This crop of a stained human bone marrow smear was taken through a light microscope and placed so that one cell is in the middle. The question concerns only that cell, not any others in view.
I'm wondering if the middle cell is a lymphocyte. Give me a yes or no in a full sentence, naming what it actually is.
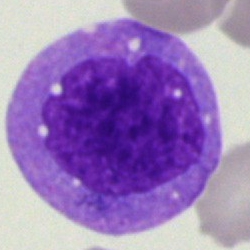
No, the central cell is not a lymphocyte; it is a monocyte.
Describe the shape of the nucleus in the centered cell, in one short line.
Please observe that the nucleus consists of one compact round, oval or kidney-shaped mass.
